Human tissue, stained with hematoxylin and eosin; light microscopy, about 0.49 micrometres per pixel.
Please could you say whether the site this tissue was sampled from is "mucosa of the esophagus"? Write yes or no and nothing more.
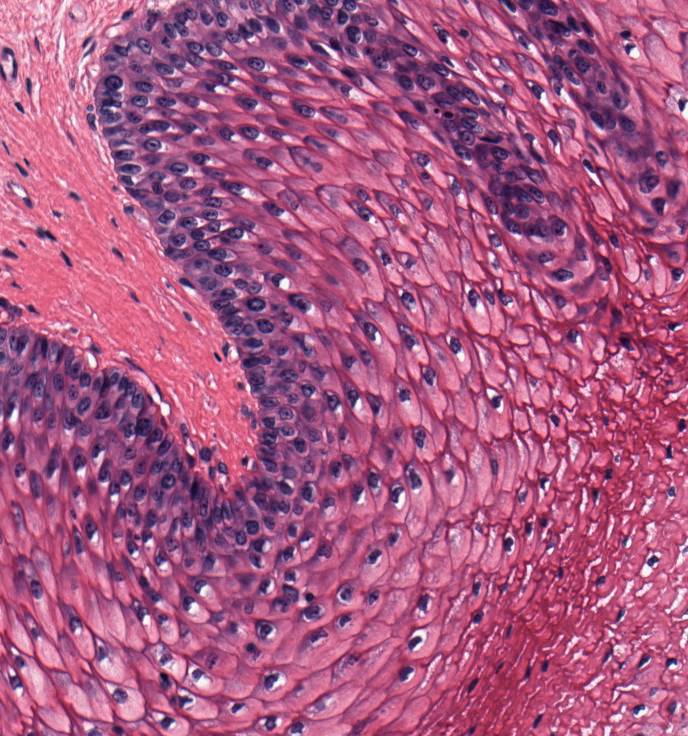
yes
